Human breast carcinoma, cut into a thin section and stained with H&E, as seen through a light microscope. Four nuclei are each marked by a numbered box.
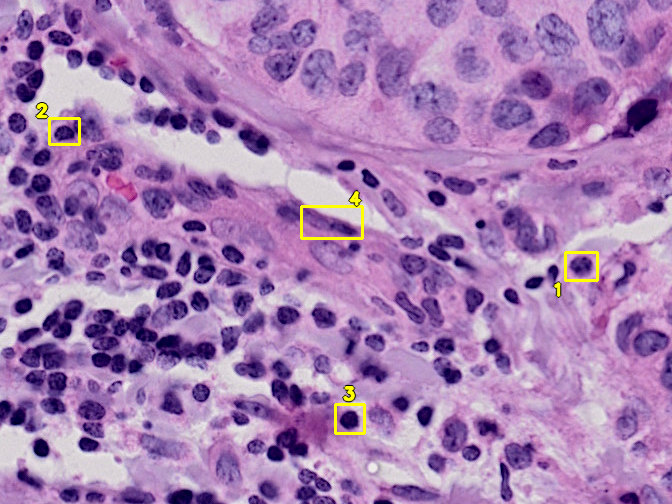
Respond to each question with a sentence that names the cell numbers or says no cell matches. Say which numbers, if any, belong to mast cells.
Among the numbered cells, the one that is a mast cell is cell 1 alone.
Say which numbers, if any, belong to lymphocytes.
Cells 2 and 3 are of one type, namely lymphocytes.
